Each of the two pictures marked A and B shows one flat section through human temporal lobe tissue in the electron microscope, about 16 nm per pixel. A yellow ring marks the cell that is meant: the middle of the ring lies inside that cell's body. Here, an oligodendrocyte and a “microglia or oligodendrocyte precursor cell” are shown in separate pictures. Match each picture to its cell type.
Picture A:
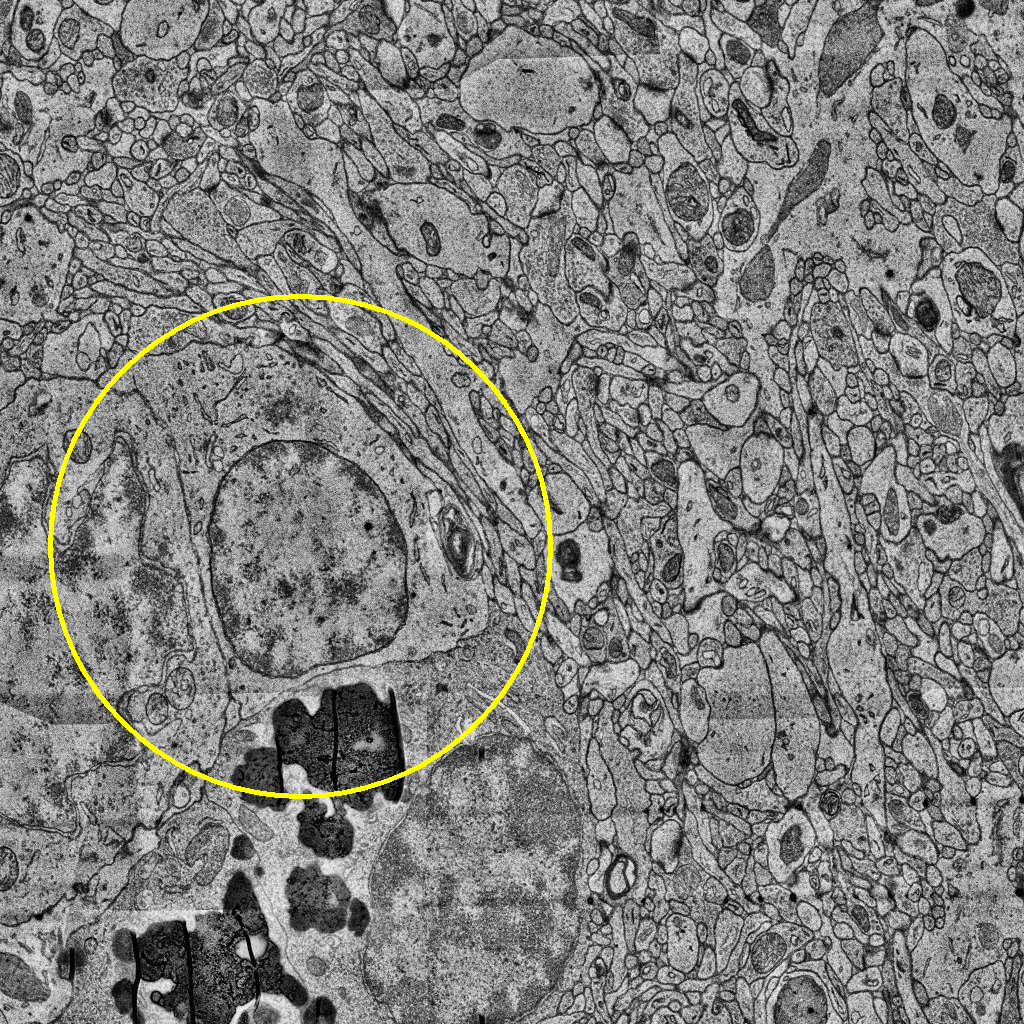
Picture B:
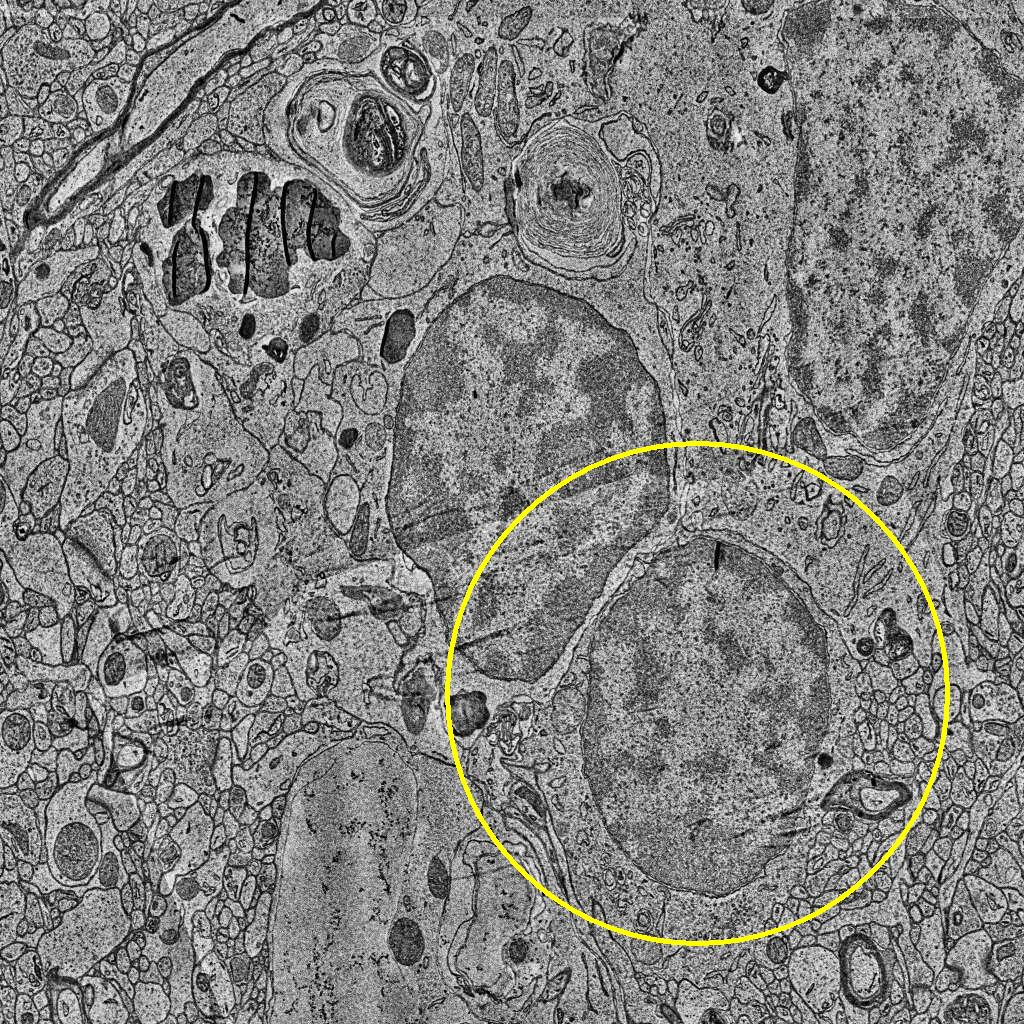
The cell in picture A is a “microglia or oligodendrocyte precursor cell”, and the one in picture B is an oligodendrocyte.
